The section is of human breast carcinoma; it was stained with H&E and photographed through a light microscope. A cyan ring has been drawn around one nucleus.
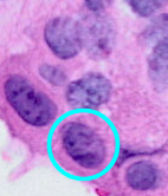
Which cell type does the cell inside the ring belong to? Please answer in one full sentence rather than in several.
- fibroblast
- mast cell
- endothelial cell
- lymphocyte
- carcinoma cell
In this section, the cell inside the ring is a carcinoma cell.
